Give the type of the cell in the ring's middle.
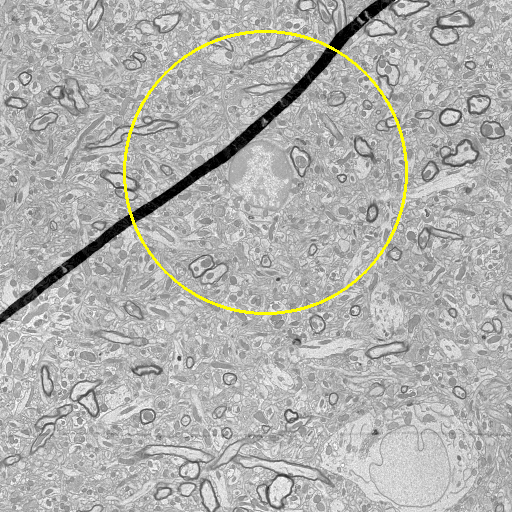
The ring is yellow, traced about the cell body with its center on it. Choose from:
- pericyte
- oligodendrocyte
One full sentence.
Here, an oligodendrocyte is the cell lying at the center of the yellow ring.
